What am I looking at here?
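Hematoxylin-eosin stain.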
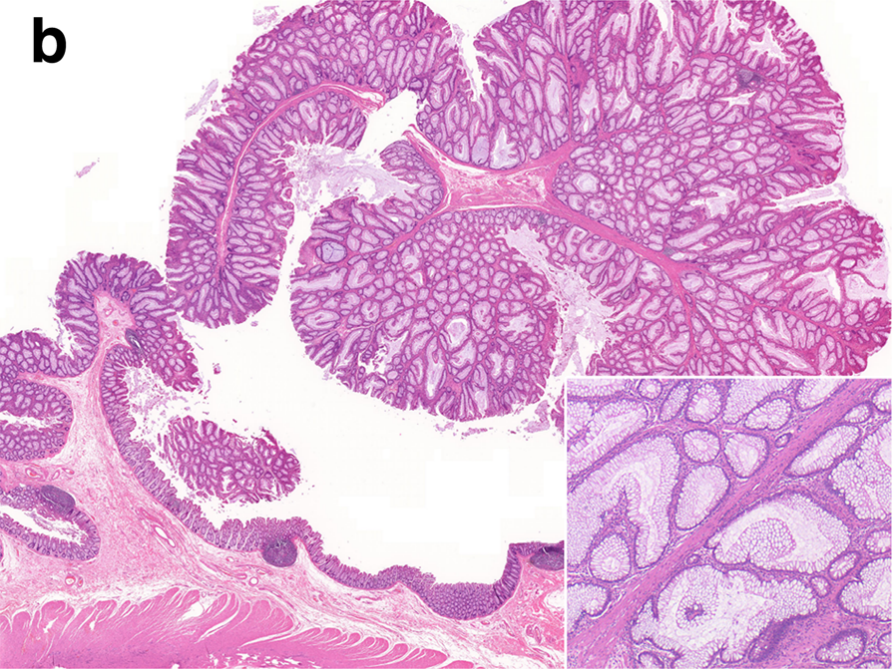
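The colonic polyp is multilobulated, with thin pink bands of smooth muscle branching from the base into each lobe. Crowded glands cover the lobes and are lined by columnar cells with pale mucinous cytoplasm and basal nuclei. At the base, flat mucosa overlies the pink muscle wall.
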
